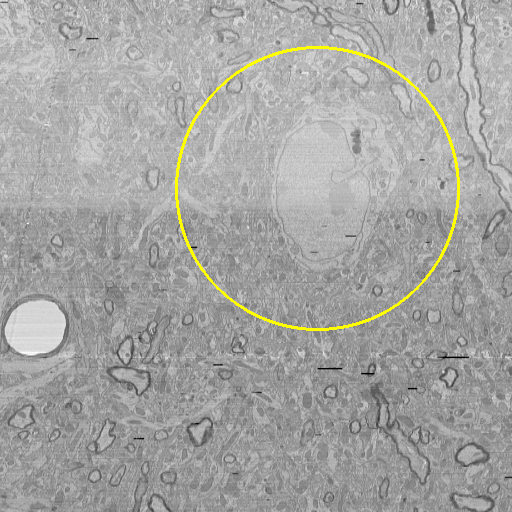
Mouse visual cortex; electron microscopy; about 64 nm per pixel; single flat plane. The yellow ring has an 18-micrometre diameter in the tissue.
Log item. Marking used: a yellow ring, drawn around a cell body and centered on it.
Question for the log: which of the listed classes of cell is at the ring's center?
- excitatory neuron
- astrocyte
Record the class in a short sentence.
At the center of the ring lies an excitatory neuron.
